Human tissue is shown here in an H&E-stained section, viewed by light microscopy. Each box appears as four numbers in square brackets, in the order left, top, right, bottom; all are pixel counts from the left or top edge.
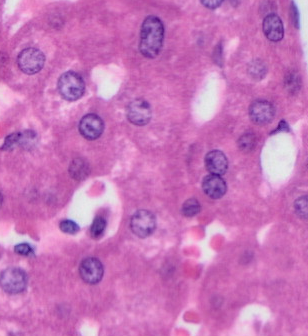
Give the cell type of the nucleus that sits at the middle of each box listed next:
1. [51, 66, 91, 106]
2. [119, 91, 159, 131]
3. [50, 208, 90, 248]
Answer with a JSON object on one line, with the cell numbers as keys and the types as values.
{"1": "hepatocyte", "2": "hepatocyte", "3": "lymphocyte"}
